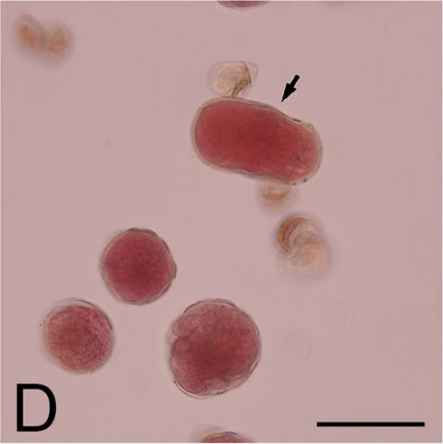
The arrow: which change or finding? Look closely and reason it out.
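Conjoined grains. The marked grain is elongated, about twice as long as it is wide. Neighbouring grains are round.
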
